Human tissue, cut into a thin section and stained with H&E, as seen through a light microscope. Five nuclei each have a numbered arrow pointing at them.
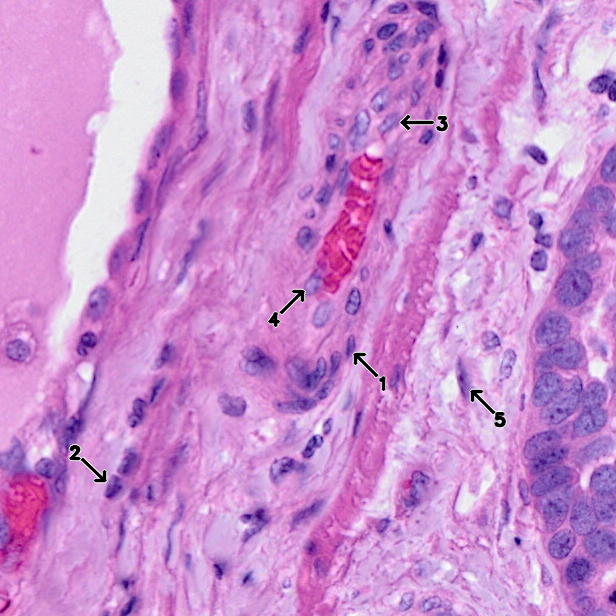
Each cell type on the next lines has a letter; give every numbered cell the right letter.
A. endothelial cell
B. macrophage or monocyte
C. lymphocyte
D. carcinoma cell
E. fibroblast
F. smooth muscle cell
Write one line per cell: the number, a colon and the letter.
1: F
2: C
3: A
4: A
5: E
